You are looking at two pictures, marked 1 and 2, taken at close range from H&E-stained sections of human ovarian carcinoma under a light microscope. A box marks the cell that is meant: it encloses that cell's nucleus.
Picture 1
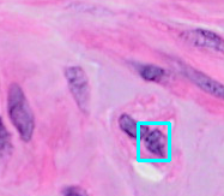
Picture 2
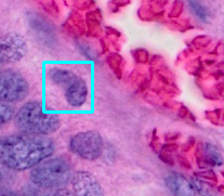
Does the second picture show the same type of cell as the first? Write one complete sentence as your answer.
No, picture 1 shows an endothelial cell and picture 2 shows a “macrophage or monocyte”.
